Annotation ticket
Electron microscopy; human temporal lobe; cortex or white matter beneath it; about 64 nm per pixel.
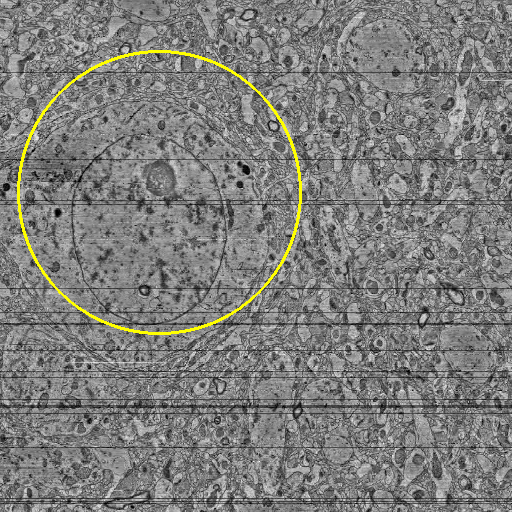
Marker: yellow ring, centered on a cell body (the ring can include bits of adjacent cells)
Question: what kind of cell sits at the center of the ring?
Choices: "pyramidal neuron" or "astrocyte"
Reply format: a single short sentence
The ring is centered on a pyramidal neuron.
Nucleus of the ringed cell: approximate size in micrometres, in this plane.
The nucleus has a long axis of about 13 micrometres and a short axis of about 10 micrometres in this plane.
